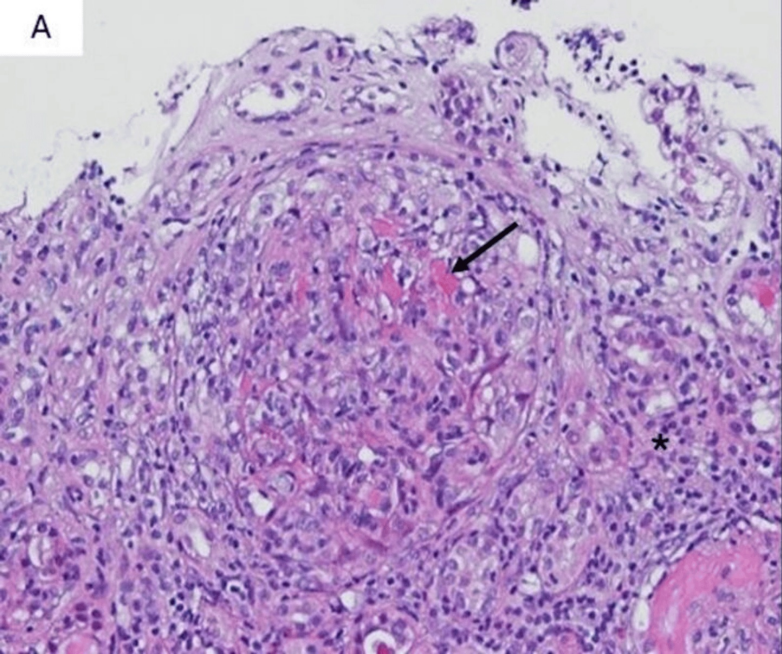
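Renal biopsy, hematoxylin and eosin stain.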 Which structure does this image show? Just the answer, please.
cellular crescents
